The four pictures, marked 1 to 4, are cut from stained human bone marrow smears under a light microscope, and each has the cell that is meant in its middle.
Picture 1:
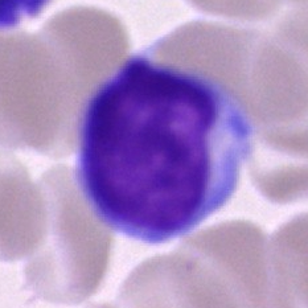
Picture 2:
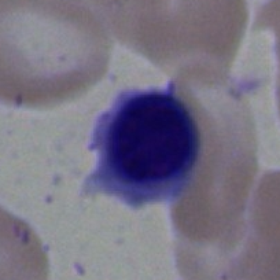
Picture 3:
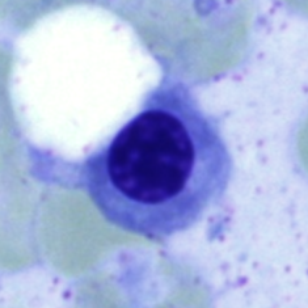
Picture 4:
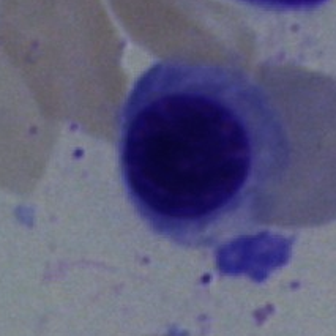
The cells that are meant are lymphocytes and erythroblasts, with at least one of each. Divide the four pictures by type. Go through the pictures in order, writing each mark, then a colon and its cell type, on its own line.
1: lymphocyte
2: erythroblast
3: erythroblast
4: erythroblast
